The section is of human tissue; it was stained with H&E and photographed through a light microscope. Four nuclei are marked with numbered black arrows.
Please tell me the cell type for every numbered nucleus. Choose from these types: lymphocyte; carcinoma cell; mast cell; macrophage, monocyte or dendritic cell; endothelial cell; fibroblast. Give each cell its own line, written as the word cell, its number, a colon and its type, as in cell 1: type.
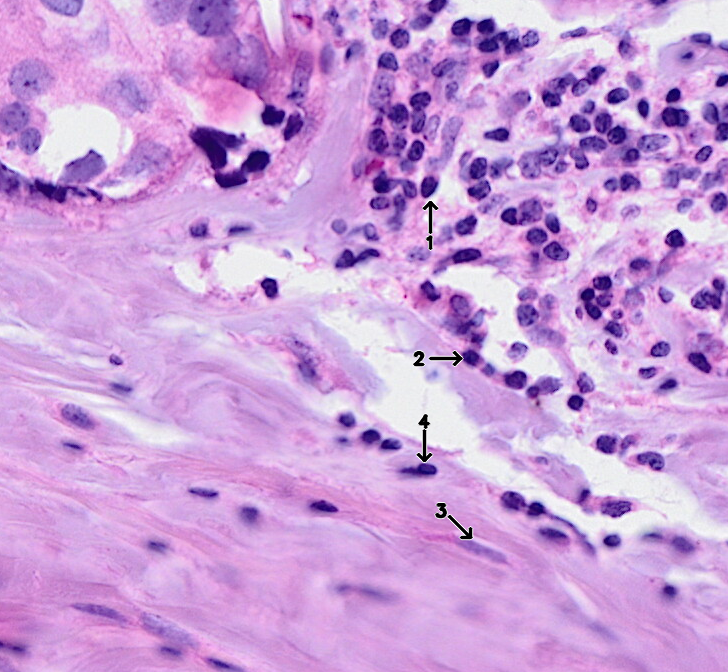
cell 1: lymphocyte
cell 2: lymphocyte
cell 3: fibroblast
cell 4: lymphocyte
